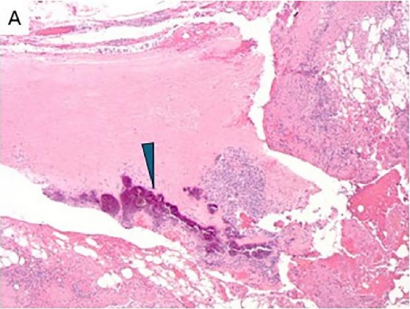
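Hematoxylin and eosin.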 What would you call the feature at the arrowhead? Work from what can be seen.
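The arrowhead points to a dark purple band of material at the edge of pink fibrous tissue. The marked deposit is much darker and more purple than the surrounding tissue. So: calcified basophilic material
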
